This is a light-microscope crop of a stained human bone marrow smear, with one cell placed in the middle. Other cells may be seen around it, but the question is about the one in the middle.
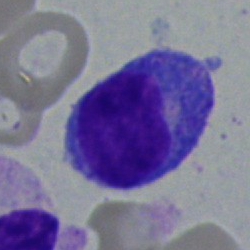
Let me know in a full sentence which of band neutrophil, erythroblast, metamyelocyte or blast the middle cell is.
Seen at the centre of the crop is a blast.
